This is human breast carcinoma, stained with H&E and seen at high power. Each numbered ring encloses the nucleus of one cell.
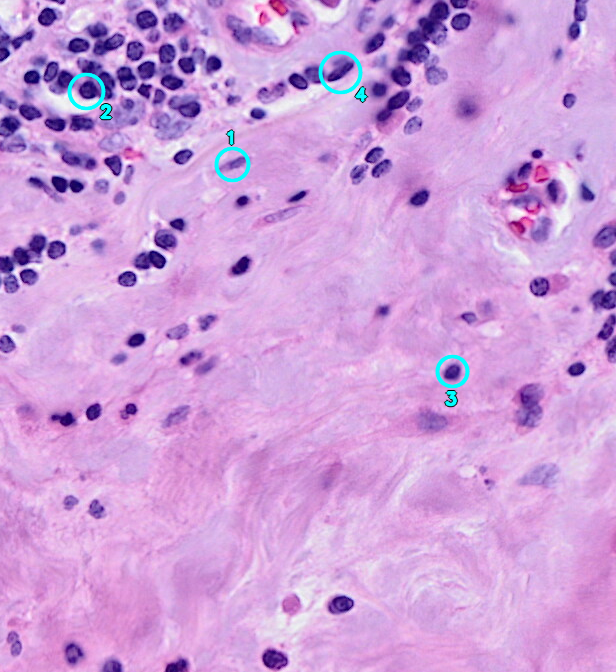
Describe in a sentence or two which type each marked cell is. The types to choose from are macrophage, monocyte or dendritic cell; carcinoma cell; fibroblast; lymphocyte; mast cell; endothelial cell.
Cell 1 is a fibroblast, cell 2 is a lymphocyte, cell 3 is a lymphocyte and cell 4 is a lymphocyte.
